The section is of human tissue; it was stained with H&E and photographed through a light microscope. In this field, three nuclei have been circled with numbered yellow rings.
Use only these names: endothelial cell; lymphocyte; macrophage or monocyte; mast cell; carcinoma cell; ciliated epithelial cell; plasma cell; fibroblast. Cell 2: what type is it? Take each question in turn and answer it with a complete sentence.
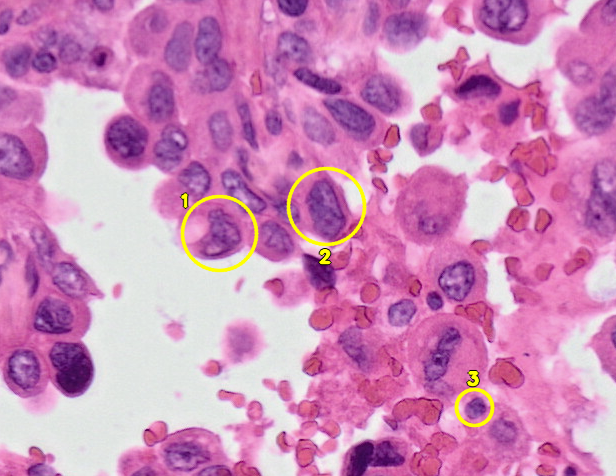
It is as a carcinoma cell that the cell numbered 2 is identified.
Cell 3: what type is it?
The cell that goes by number 3 is a lymphocyte.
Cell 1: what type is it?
The correct label for cell 1 is a carcinoma cell.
